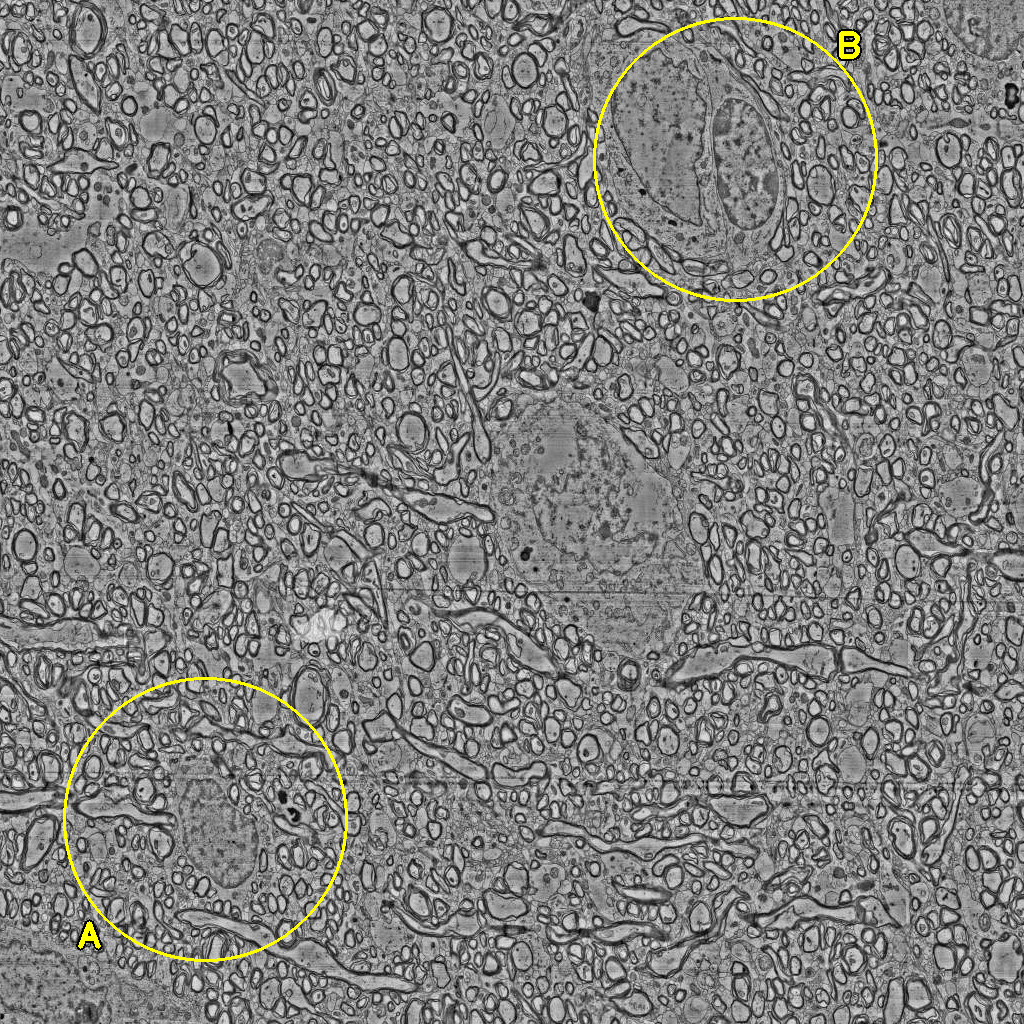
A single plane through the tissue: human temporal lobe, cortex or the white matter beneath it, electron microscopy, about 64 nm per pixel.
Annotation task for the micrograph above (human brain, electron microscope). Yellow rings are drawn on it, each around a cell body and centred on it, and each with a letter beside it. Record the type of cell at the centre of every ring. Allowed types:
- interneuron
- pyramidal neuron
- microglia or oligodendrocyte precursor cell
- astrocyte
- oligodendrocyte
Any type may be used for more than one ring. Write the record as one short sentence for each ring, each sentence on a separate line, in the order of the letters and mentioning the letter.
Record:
The cell centred in ring A is an oligodendrocyte.
The cell centred in ring B is a microglial cell or oligodendrocyte precursor cell.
